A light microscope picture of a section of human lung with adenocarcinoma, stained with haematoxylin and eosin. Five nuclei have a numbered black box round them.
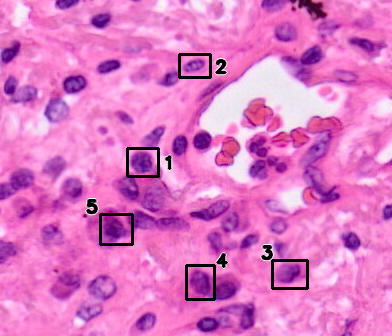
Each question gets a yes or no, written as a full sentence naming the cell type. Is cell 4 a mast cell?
No, cell 4 is not a mast cell. It is a plasma cell.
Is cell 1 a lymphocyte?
Yes, number 1 is assigned to a cell that is a lymphocyte.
